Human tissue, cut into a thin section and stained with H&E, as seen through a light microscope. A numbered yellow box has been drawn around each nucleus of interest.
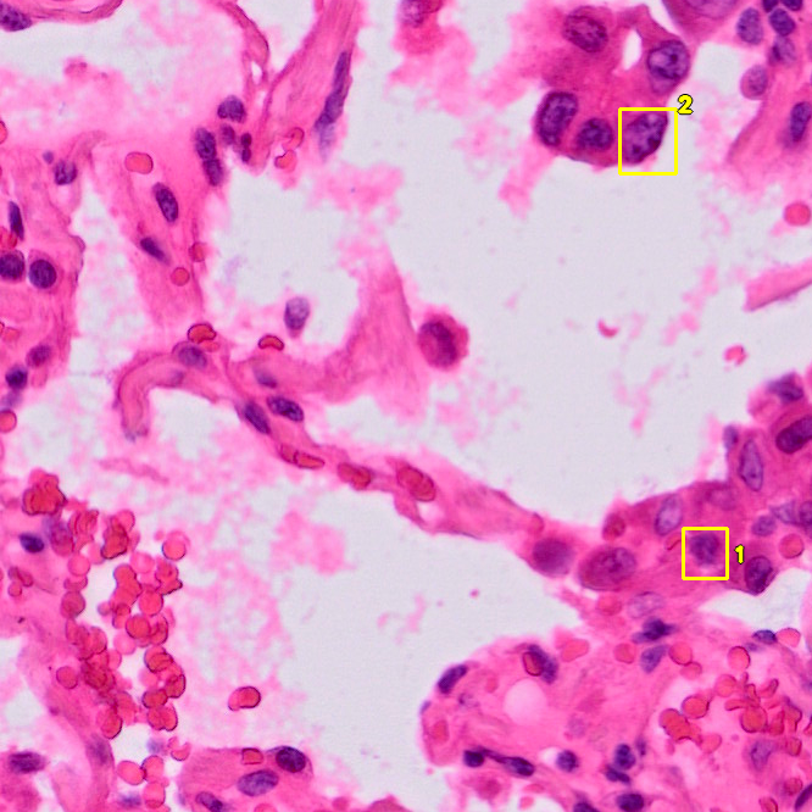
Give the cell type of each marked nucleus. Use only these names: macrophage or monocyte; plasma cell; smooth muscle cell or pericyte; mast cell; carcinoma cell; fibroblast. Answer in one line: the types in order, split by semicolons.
macrophage or monocyte; carcinoma cell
